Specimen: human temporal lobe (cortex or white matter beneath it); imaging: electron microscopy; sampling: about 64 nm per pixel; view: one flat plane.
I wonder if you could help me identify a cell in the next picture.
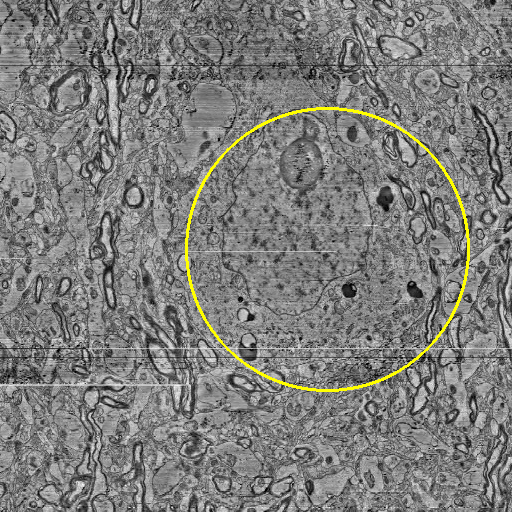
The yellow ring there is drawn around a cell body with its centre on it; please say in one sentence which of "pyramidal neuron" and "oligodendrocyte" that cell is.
The yellow ring is centred on a pyramidal neuron.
